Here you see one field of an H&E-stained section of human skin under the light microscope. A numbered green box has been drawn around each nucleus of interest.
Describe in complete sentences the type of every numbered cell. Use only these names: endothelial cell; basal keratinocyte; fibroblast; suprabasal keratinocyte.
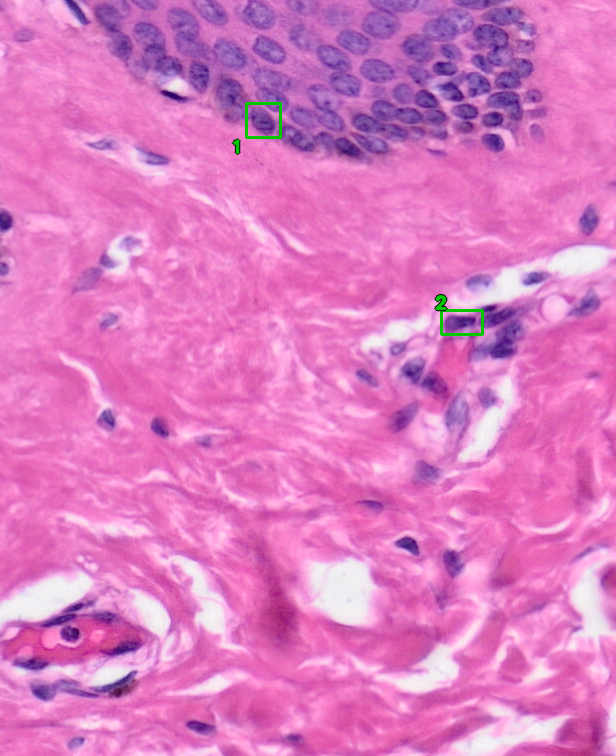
Cell 1 is a basal keratinocyte and cell 2 is an endothelial cell.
